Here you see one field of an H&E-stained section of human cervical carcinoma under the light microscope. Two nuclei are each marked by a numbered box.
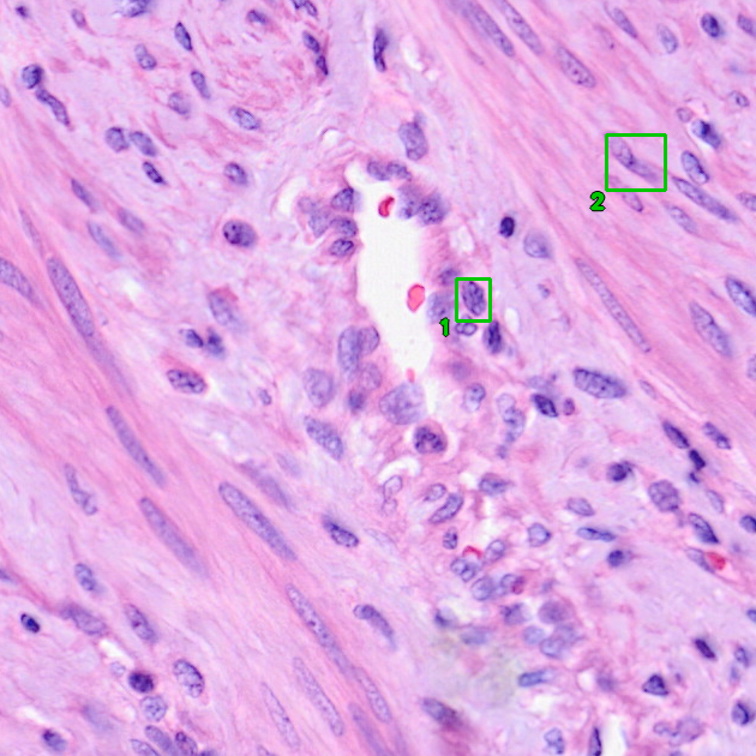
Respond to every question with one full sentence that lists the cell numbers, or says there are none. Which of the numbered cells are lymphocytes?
Response: cell 1 is a lymphocyte, and no other numbered cell is.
